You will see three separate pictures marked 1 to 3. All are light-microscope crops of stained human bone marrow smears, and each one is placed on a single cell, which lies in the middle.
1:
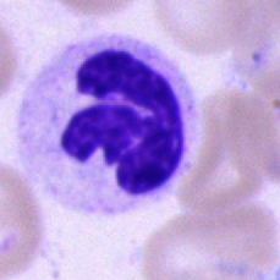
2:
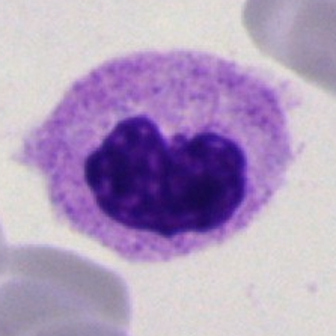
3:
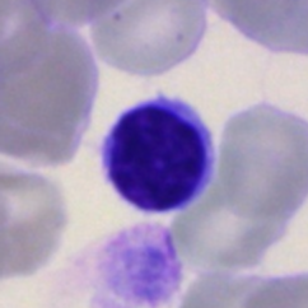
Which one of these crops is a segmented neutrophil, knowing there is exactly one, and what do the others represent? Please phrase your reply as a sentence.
Crop 1 holds a segmented neutrophil at its centre, while crop 2 is a band neutrophil and crop 3 is a lymphocyte.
